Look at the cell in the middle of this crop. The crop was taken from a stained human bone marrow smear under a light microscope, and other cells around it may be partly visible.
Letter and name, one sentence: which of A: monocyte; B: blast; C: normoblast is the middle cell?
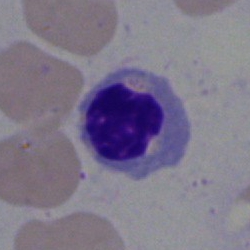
Option C is the right choice, the central cell being a normoblast.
